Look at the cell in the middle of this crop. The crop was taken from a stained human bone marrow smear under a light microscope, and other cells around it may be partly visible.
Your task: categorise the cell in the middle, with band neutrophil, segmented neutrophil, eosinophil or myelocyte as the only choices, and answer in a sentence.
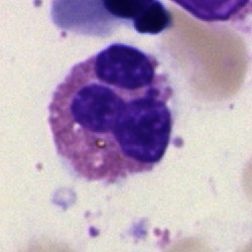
Present in the middle of the crop is an eosinophil.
